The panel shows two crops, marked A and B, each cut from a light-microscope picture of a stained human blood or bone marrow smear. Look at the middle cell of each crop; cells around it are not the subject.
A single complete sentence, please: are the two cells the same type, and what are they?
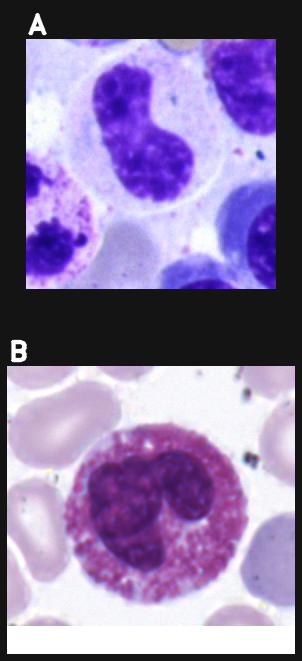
No, at the centre of crop A is a band neutrophil, and at the centre of crop B is an eosinophil.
